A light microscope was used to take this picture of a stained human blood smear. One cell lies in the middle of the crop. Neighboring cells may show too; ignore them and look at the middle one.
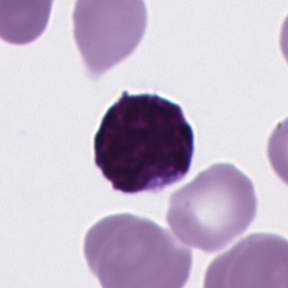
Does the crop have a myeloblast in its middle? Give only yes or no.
yes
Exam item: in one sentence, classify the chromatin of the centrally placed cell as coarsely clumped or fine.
Thanks for asking; the chromatin is coarsely clumped.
